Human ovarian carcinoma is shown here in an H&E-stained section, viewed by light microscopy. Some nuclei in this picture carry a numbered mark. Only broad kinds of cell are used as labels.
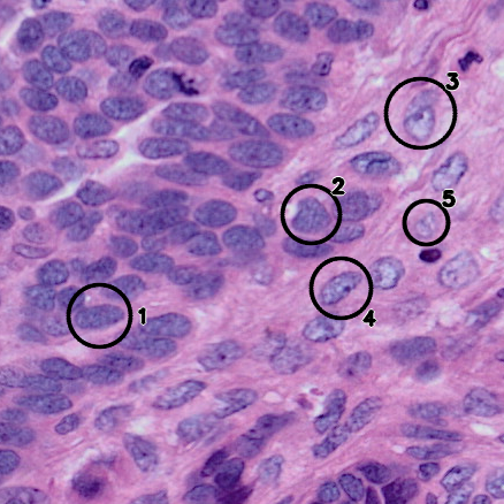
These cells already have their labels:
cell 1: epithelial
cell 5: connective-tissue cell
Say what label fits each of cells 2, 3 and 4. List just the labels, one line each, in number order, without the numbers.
epithelial
connective-tissue cell
connective-tissue cell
